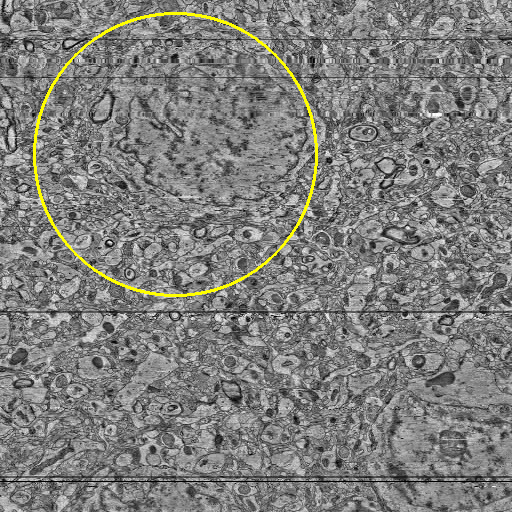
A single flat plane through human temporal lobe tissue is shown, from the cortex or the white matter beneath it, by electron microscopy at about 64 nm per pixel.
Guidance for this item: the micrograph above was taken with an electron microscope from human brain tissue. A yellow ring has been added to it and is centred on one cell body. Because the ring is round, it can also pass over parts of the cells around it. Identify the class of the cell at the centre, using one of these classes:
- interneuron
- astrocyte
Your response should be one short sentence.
The ring surrounds the body of an interneuron.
